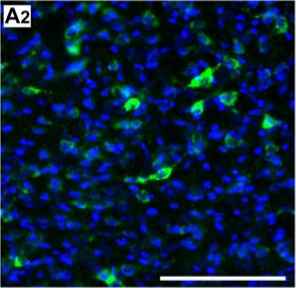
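Many small blue nuclei are scattered densely and fairly evenly through the field. Among them a smaller number of cells have bright green cytoplasm wrapped around their nucleus. These green cells are spread singly across the section rather than grouped in a layer. Some of them show short tapering extensions leaving the cell body.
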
